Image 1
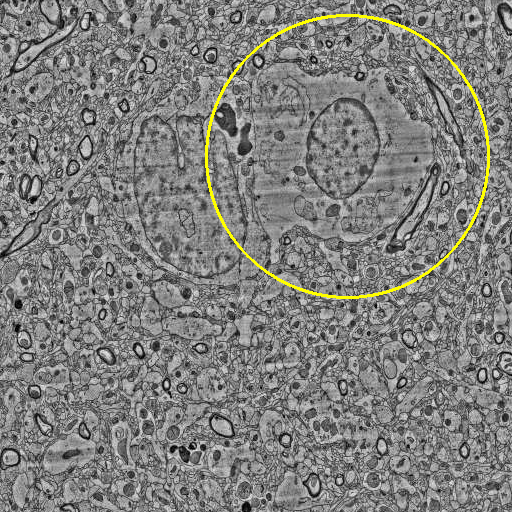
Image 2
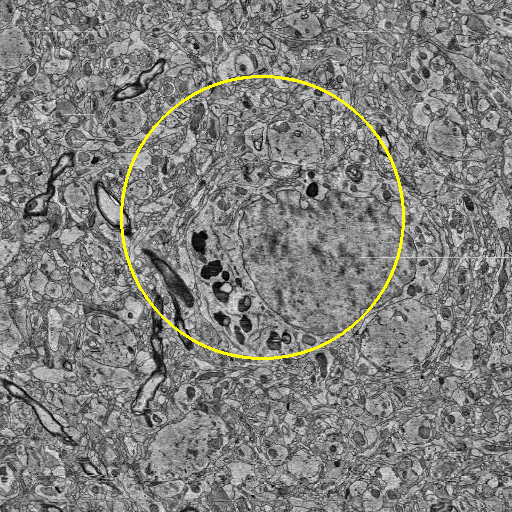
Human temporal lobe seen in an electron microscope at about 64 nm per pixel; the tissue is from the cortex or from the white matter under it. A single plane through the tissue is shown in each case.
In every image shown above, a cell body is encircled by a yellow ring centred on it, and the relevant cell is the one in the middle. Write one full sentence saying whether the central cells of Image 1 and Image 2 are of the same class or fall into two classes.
The cell at the ring's centre in Image 1 and its counterpart in Image 2 fall into two classes.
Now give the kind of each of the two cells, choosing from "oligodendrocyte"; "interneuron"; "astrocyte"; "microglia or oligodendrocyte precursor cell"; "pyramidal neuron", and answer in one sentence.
The cell in the first picture is an astrocyte, and the cell in the second is an interneuron.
